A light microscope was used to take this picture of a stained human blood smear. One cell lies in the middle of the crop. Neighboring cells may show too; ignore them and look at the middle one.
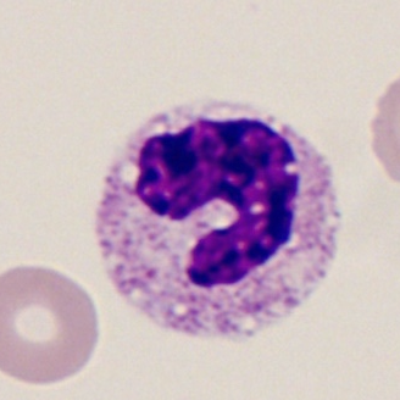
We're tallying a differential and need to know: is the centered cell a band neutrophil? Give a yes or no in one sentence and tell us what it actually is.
Yes, that is right: the middle cell is a band neutrophil.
